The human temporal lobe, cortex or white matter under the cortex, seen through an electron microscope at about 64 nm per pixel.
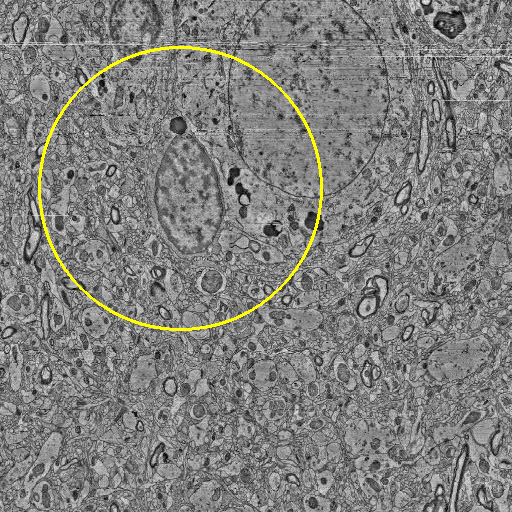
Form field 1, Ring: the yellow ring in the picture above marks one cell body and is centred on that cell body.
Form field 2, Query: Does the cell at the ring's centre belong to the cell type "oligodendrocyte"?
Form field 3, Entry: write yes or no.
yes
